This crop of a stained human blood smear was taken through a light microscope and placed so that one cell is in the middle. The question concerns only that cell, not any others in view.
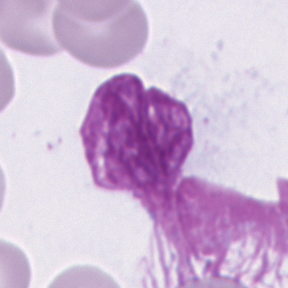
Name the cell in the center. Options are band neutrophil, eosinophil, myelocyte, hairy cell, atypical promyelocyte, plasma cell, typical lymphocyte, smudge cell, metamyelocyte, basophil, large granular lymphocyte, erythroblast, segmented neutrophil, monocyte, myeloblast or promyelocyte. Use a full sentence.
The crop shows a smudge cell in its centre.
